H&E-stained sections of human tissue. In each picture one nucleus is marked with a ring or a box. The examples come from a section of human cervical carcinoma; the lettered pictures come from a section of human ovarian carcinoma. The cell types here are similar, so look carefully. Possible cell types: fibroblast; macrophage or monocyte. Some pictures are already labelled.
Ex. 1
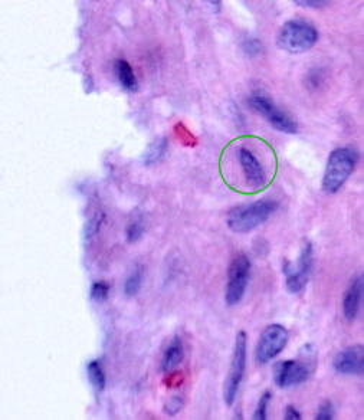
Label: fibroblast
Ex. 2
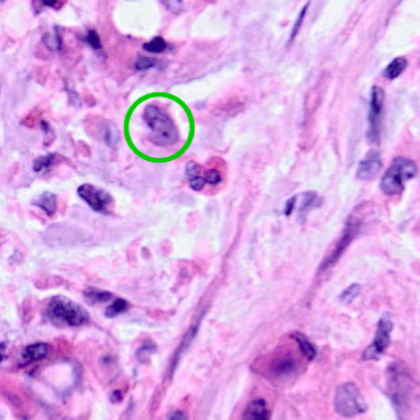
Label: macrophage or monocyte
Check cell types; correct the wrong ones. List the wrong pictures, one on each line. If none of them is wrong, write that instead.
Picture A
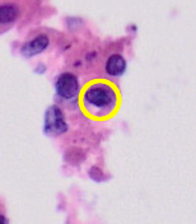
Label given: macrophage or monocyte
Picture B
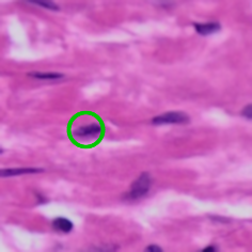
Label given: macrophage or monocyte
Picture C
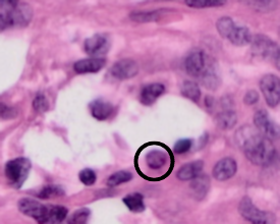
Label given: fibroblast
B should be fibroblast, not macrophage or monocyte
C should be macrophage or monocyte, not fibroblast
